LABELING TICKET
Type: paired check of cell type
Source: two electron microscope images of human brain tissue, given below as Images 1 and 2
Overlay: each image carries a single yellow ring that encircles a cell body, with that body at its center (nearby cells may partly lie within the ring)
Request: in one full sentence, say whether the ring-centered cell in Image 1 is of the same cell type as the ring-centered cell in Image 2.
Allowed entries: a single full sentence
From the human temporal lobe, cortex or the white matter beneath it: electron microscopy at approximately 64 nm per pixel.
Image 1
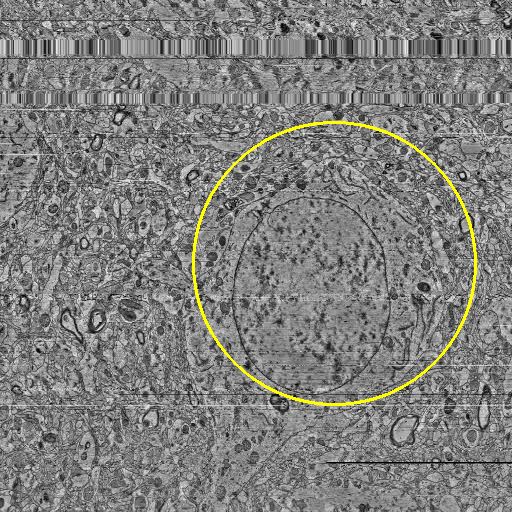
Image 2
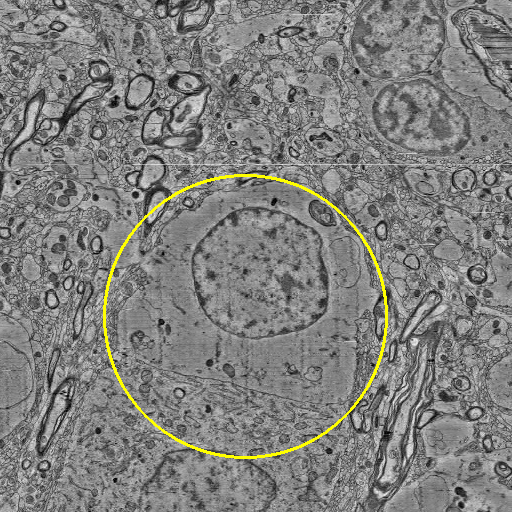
No, the cells centered in the rings of Image 1 and Image 2 are of two types.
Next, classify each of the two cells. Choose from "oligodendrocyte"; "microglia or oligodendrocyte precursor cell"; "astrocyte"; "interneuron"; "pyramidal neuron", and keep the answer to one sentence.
In the first picture it is a pyramidal neuron; in the second it is an astrocyte.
